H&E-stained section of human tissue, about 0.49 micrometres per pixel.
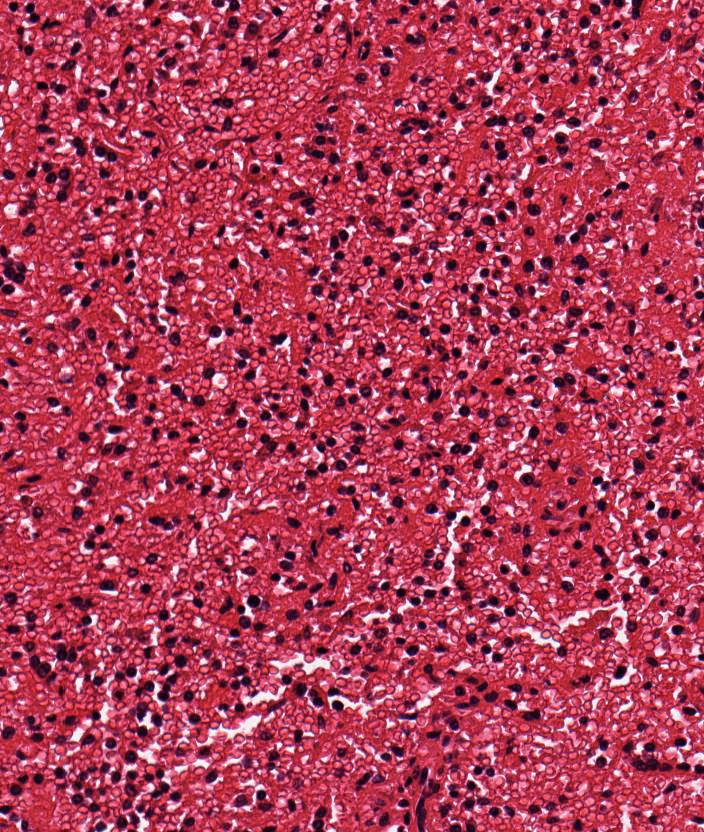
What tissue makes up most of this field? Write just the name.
red pulp of the spleen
